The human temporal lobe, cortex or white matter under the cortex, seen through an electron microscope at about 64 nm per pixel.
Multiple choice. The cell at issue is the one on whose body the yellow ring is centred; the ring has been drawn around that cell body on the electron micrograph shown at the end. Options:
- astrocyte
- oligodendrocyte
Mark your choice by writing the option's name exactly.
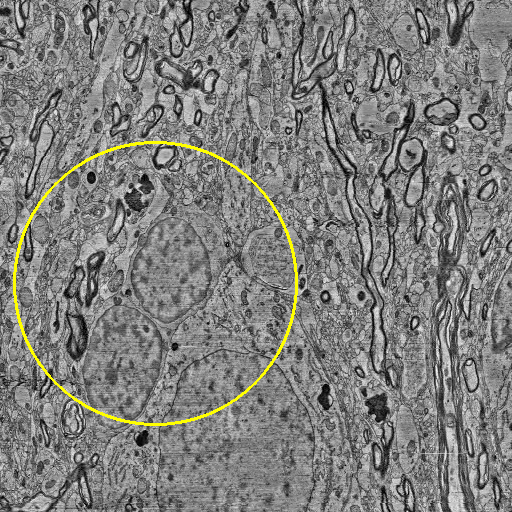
oligodendrocyte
